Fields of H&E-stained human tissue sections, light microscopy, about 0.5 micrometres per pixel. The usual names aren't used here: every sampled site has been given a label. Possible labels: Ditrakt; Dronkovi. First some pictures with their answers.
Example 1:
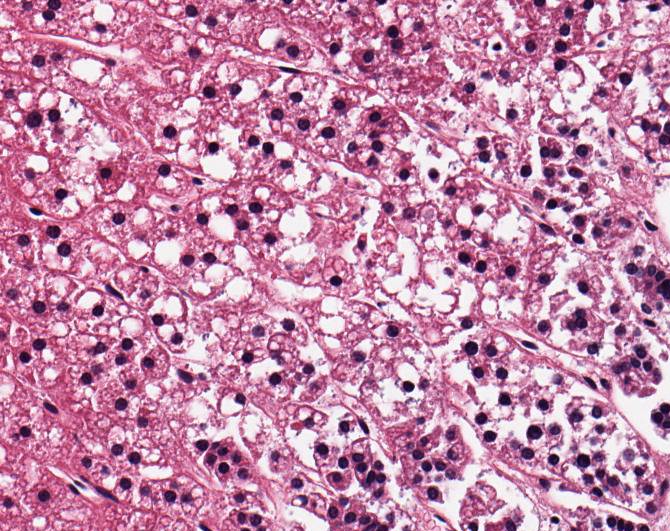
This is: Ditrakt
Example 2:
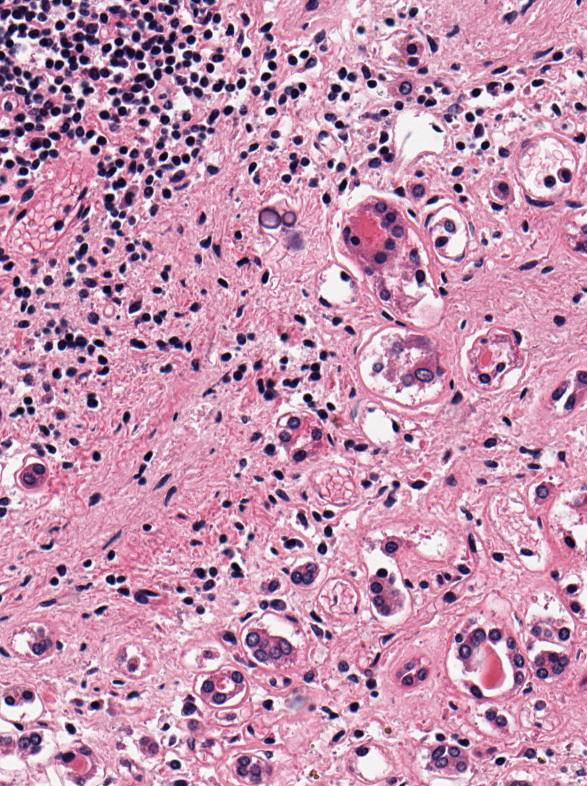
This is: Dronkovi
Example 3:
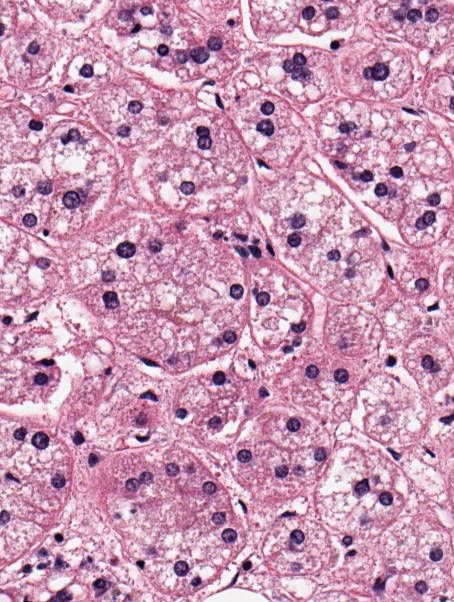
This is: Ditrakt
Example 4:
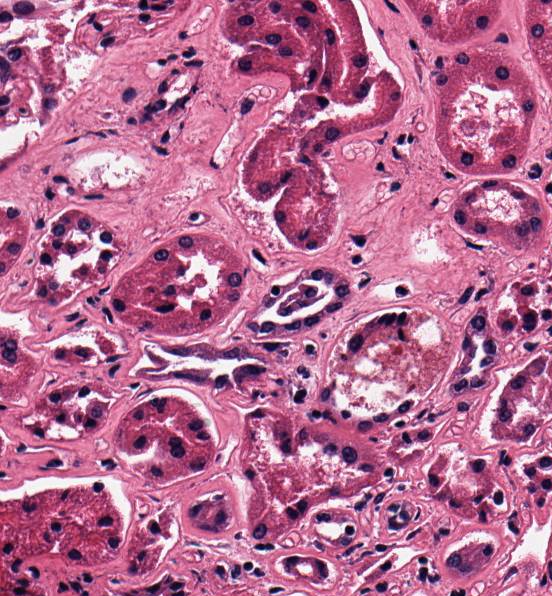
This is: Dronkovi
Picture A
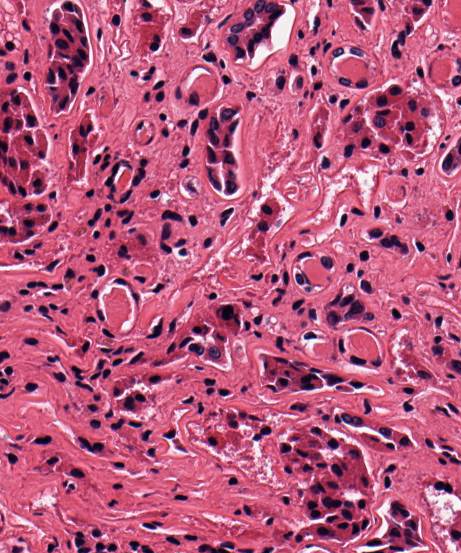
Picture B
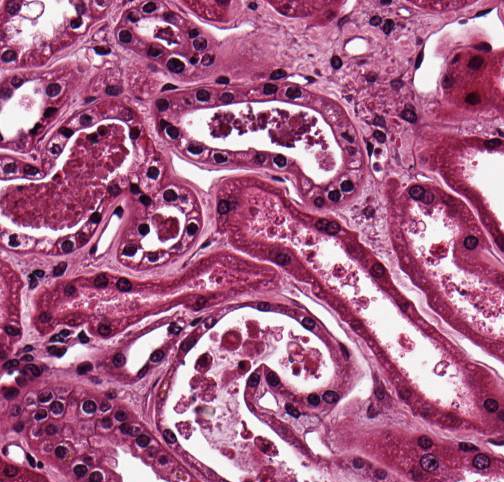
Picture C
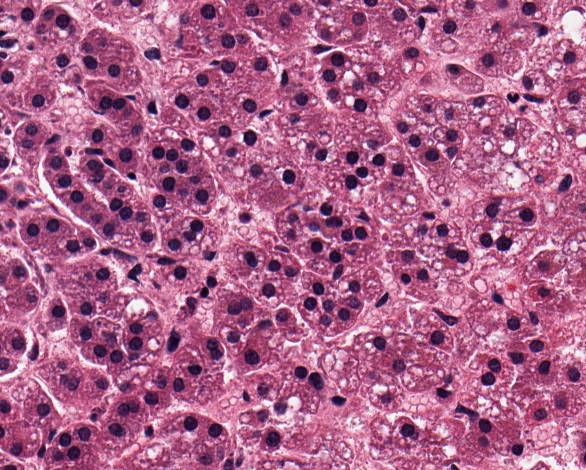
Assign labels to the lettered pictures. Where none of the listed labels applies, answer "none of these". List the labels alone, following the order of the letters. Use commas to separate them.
Dronkovi, Dronkovi, Ditrakt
